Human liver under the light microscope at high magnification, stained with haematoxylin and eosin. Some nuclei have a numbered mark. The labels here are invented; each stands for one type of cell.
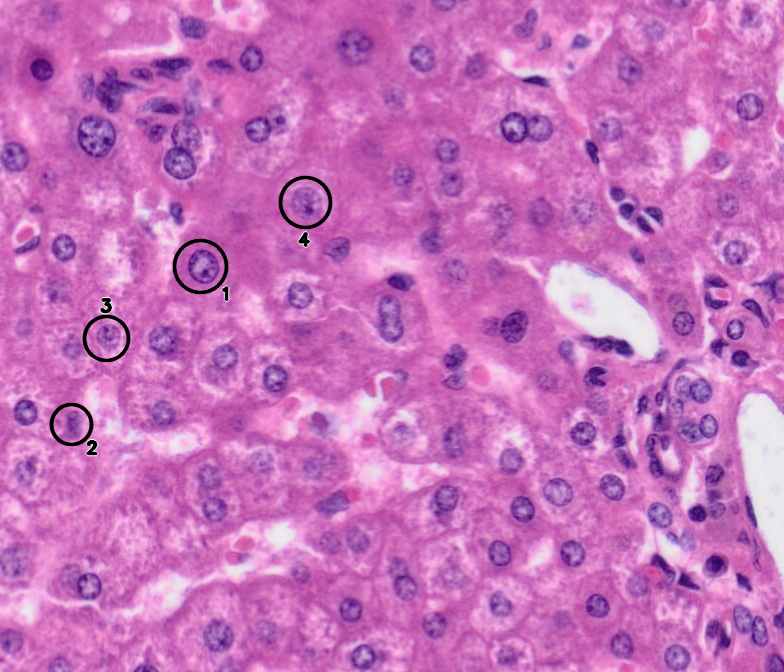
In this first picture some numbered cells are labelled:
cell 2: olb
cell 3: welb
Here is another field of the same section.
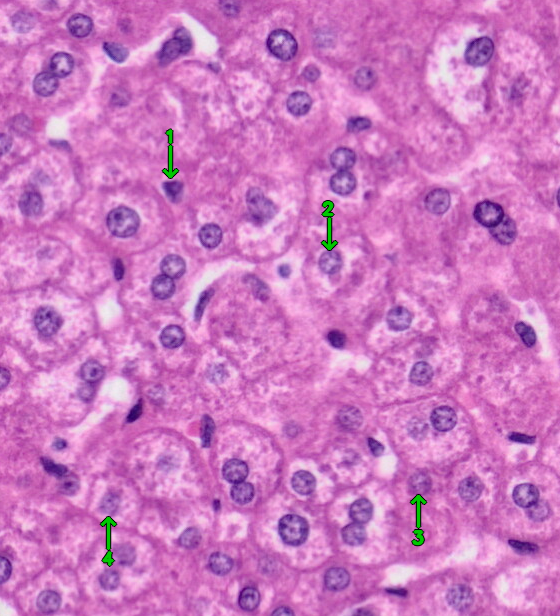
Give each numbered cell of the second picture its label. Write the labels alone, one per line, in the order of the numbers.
olb
welb
welb
welb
